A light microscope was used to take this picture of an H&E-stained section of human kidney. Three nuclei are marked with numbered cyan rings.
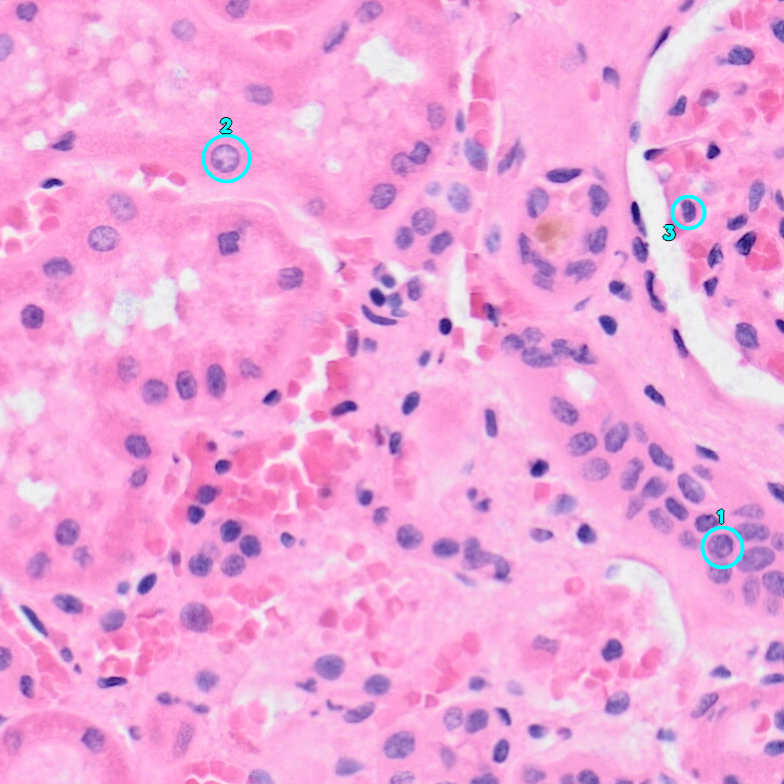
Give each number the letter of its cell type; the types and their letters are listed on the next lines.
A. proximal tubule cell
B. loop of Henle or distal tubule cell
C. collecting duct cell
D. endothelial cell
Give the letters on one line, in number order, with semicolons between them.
C; A; D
